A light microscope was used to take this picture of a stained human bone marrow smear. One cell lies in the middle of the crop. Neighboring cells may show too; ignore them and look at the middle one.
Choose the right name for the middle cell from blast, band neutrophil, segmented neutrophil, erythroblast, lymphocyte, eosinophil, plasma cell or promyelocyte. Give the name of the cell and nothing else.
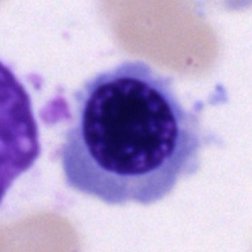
erythroblast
